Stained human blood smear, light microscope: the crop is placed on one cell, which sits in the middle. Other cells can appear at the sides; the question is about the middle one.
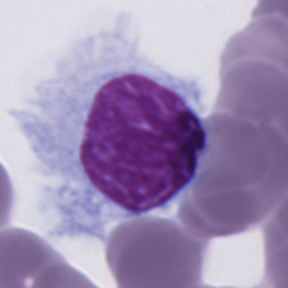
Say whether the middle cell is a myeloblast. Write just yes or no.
no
